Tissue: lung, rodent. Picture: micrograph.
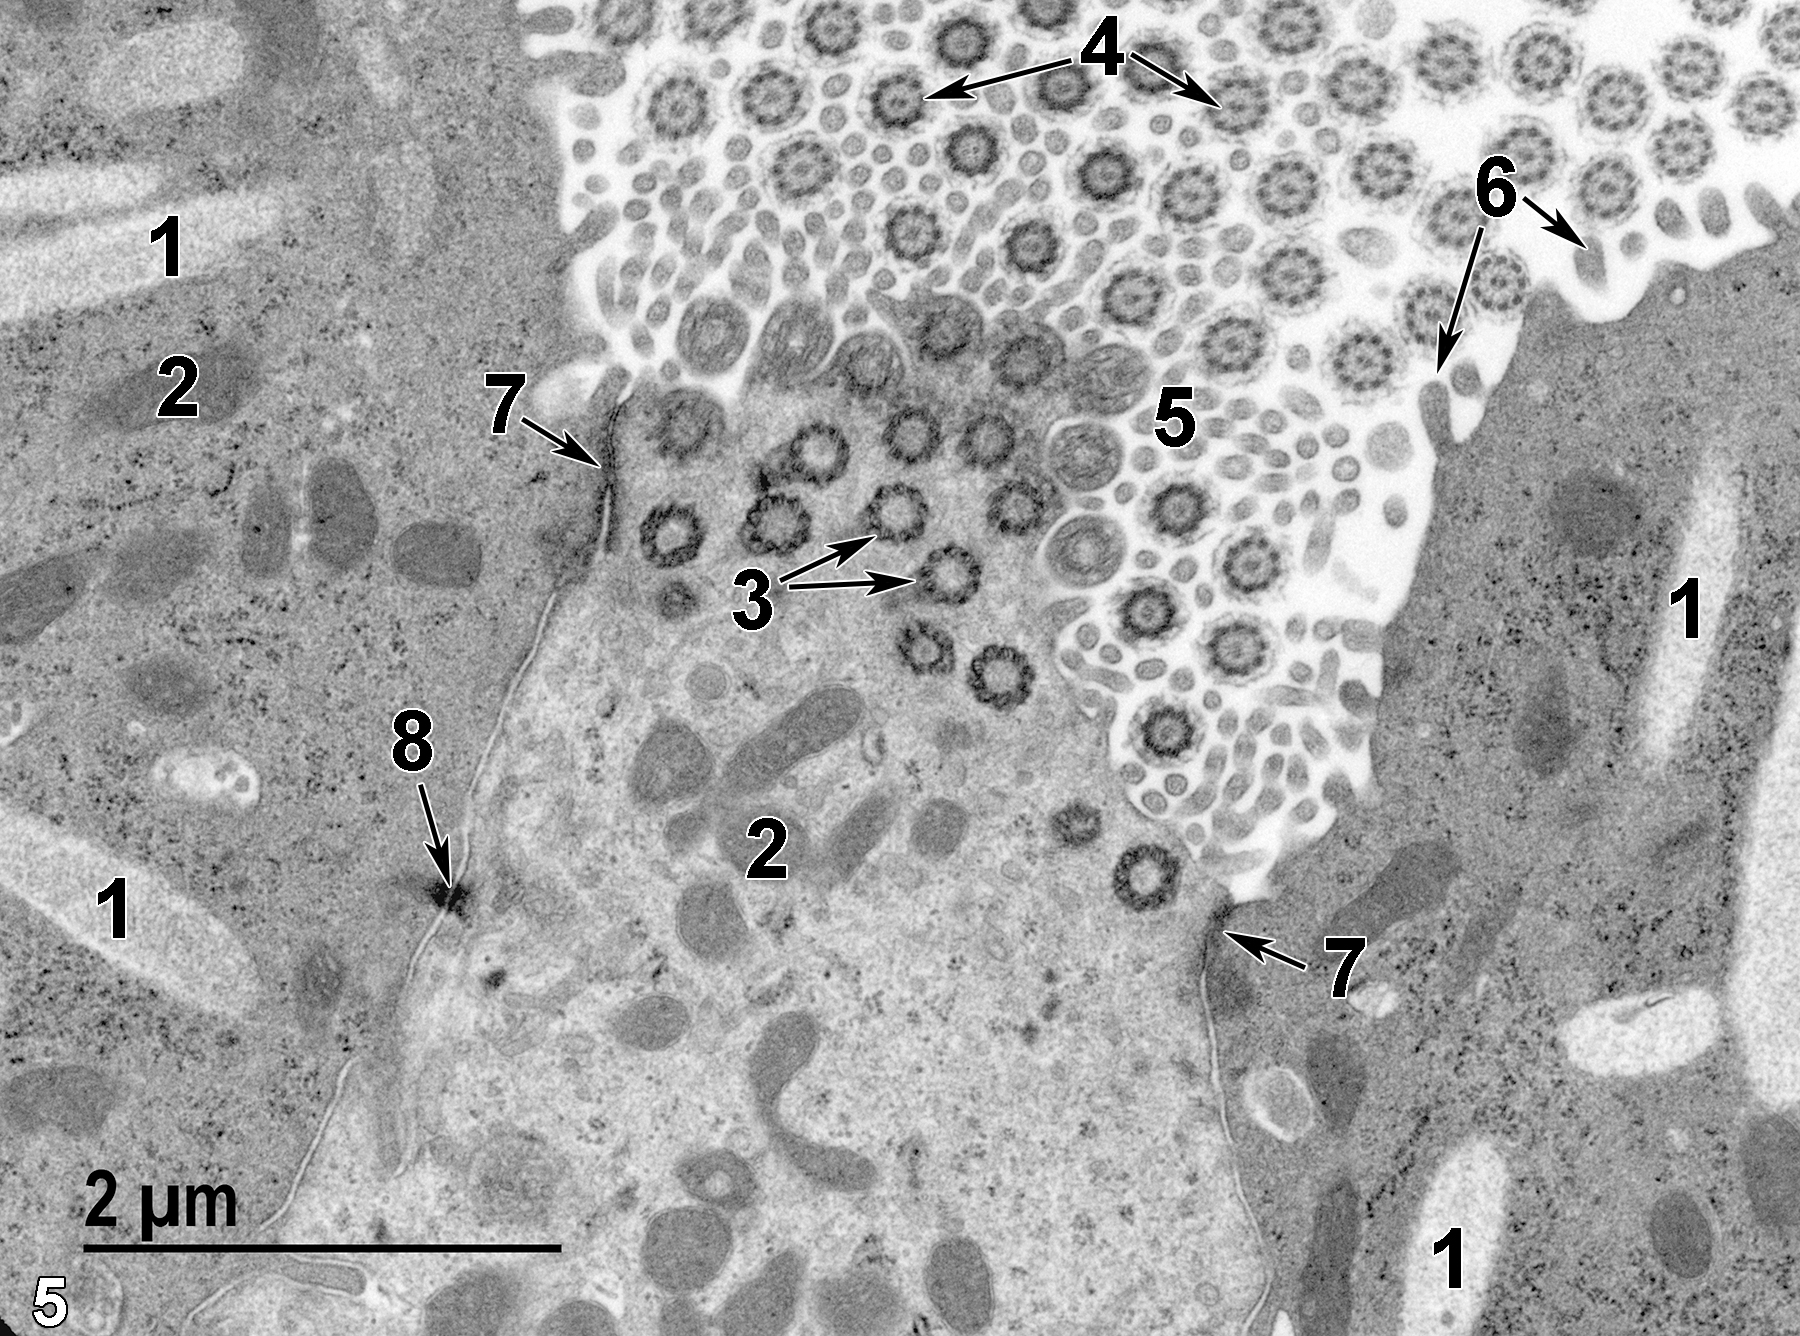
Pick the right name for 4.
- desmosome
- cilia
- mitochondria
cilia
